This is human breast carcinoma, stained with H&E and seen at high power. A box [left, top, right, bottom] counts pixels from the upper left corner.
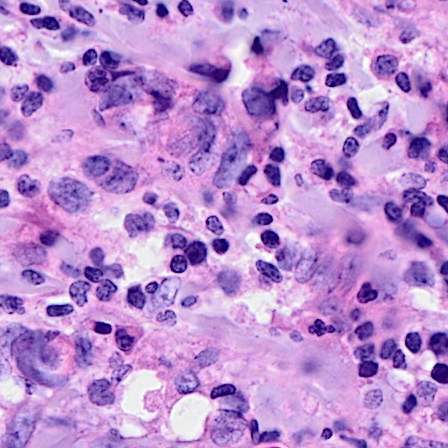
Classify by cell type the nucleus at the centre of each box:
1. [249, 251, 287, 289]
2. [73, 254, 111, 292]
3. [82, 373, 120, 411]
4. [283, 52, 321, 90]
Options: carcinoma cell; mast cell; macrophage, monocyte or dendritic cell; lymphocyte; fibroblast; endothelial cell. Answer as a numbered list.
1. lymphocyte
2. lymphocyte
3. macrophage, monocyte or dendritic cell
4. lymphocyte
